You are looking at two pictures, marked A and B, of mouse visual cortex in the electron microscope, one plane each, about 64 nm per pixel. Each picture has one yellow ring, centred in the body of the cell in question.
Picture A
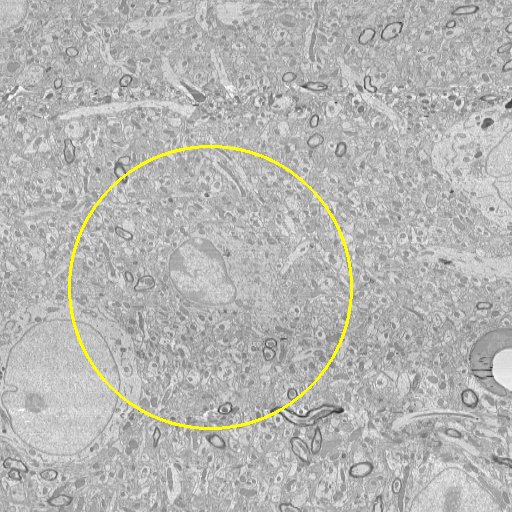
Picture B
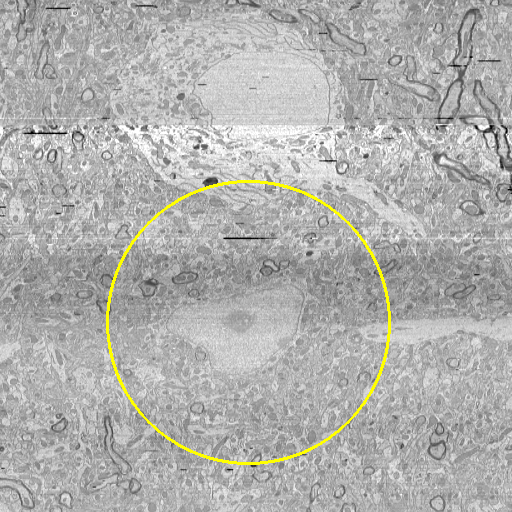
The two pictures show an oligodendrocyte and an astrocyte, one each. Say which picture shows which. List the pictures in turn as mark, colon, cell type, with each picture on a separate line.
A: oligodendrocyte
B: astrocyte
